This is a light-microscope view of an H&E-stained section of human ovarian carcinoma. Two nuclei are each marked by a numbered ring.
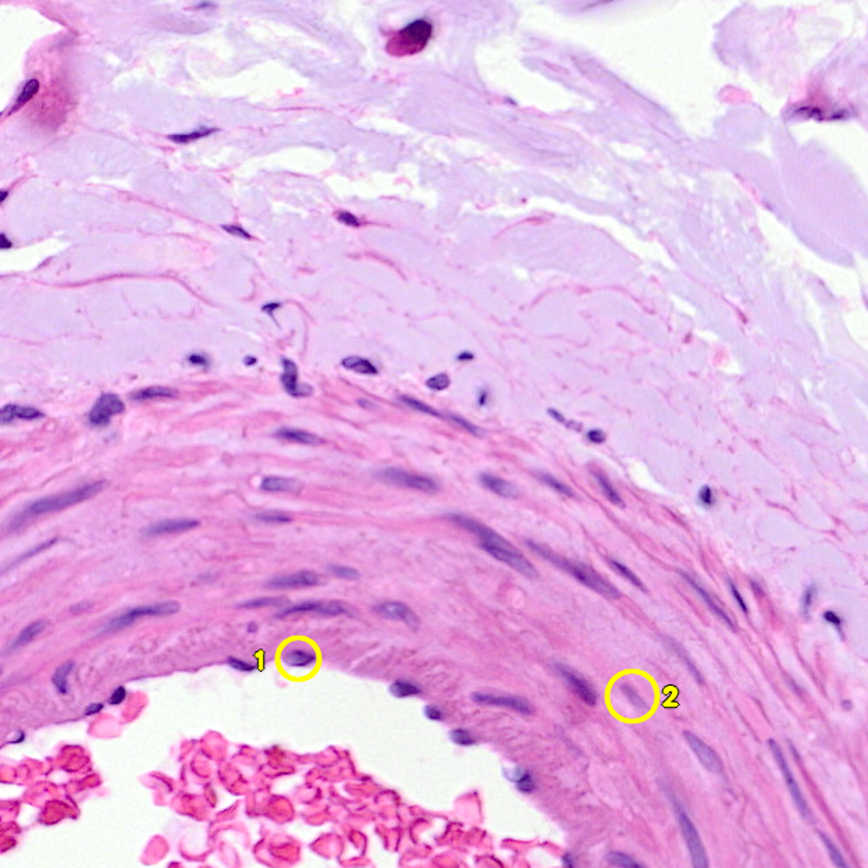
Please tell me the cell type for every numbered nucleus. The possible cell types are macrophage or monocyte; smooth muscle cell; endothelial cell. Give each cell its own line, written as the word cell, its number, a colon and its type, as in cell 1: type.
cell 1: endothelial cell
cell 2: smooth muscle cell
